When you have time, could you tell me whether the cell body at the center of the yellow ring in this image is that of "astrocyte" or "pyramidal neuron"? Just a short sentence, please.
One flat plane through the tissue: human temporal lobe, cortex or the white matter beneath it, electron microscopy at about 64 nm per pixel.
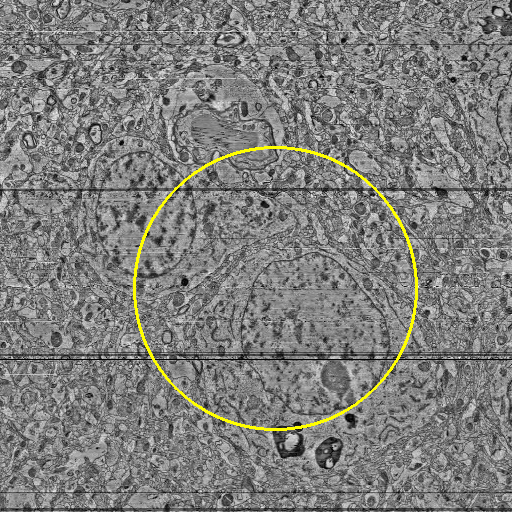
The cell body at the center of the ring is that of a pyramidal neuron.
